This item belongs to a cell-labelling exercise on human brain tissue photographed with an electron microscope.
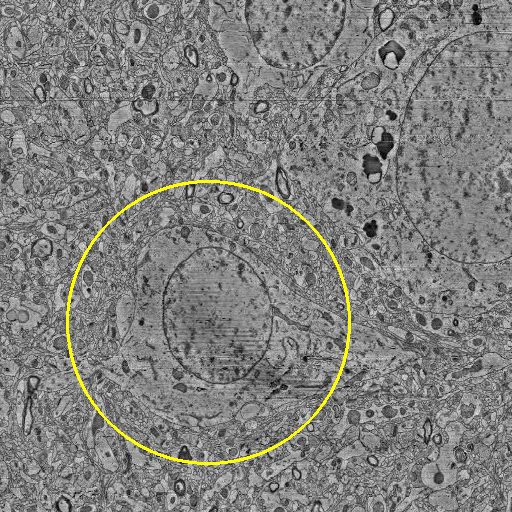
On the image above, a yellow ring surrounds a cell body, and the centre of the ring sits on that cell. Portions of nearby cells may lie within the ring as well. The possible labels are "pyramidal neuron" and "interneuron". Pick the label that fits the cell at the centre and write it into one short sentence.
This cell should be labelled as a pyramidal neuron.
